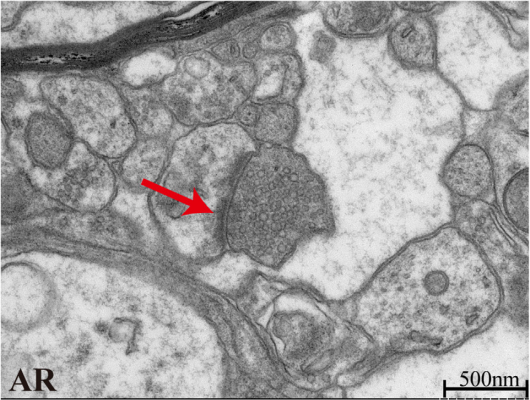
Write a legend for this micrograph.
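Densely packed neuropil shows many membrane-bound profiles of neuronal processes cut in cross section, some holding small mitochondria. One large terminal profile is filled with numerous small, round, clear vesicles, and its membrane at the arrow lies closely apposed to an adjacent profile across a narrow cleft. This is a synapse, with the vesicle-laden terminal forming the presynaptic side.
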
